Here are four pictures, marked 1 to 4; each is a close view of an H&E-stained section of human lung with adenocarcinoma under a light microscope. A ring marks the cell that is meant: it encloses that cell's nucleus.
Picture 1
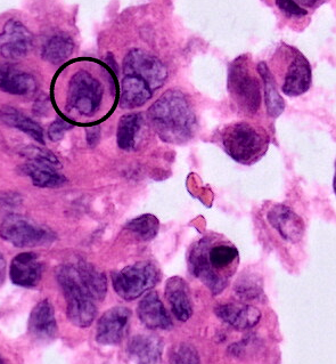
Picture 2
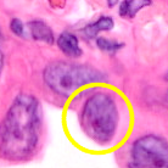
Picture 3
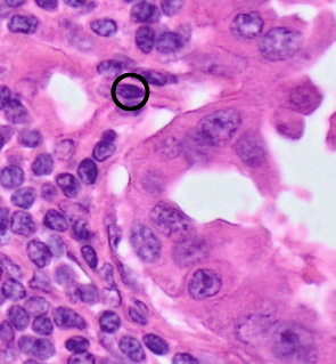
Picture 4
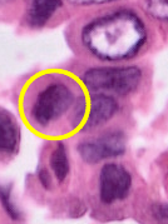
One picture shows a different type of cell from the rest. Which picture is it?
3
